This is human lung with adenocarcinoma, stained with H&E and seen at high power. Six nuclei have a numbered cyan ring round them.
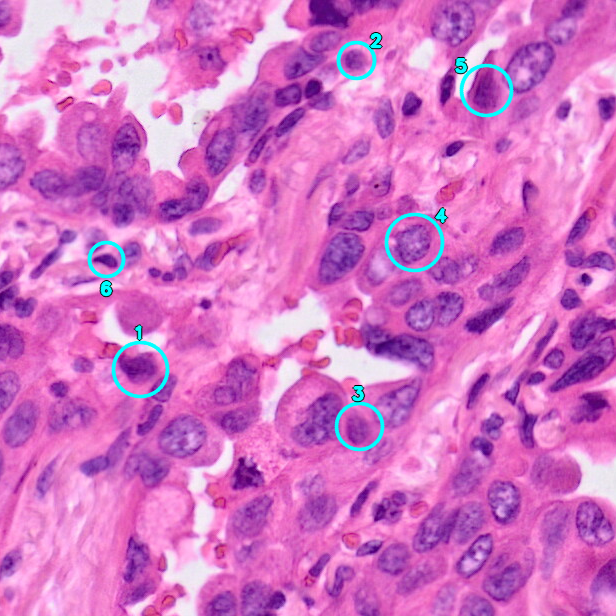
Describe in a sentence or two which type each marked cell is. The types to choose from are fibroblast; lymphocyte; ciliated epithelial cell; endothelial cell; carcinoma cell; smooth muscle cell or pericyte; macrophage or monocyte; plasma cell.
Cells 1, 3, 4 and 5 are carcinoma cells. Cell 2 is a plasma cell. Cell 6 is a lymphocyte.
